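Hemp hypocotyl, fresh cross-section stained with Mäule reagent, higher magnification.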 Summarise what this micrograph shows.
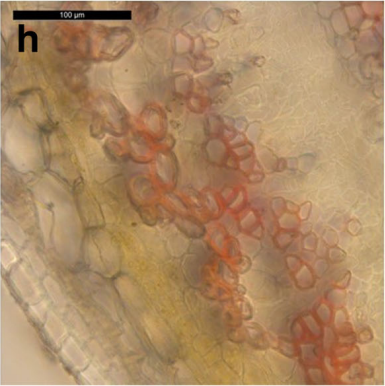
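The fibres form irregular clusters and strands of polygonal cells whose thick walls stain orange-red, with small pale lumens. The clusters run in a diagonal band across the field. Around them lie larger, thin-walled, pale cells of the surrounding tissue, with a yellowish tint toward the lower left. Cell outlines are clearly visible, and the fibres are packed closely together within each cluster.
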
